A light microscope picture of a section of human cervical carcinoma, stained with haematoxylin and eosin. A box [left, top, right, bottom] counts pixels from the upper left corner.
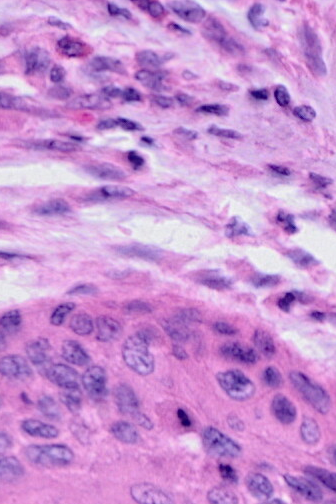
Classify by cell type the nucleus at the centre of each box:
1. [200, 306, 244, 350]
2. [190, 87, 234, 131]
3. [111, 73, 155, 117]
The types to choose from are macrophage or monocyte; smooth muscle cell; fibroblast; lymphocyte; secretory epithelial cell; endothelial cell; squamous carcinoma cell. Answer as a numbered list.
1. squamous carcinoma cell
2. lymphocyte
3. lymphocyte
